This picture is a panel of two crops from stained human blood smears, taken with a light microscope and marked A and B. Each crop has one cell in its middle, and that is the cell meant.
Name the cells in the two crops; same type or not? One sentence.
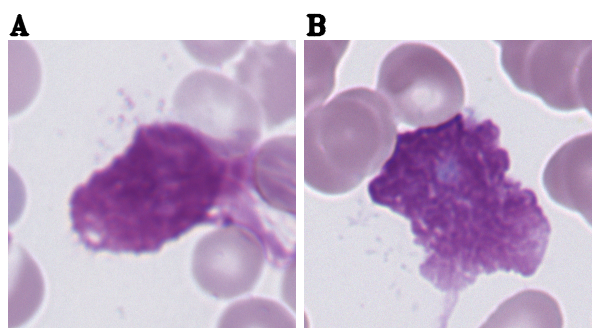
Yes, the cells found in the middle of both crops are smudge cells.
